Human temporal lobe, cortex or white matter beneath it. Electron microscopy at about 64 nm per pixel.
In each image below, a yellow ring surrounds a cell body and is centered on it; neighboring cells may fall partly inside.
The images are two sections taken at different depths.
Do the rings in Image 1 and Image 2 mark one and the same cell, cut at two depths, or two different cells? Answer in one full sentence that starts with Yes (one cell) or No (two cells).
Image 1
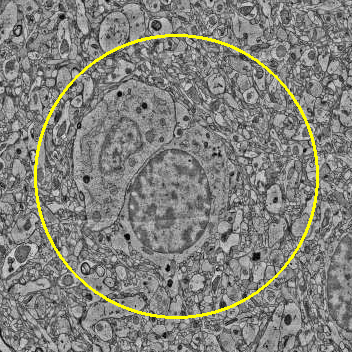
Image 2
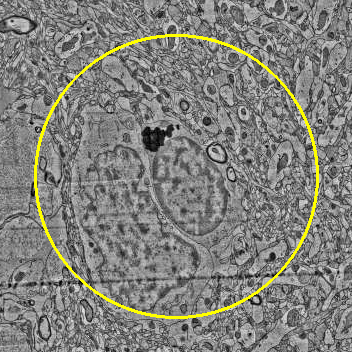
No, two cells, not one, are marked by the yellow rings.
